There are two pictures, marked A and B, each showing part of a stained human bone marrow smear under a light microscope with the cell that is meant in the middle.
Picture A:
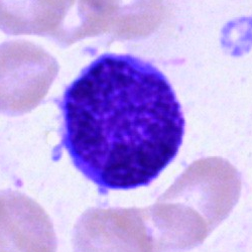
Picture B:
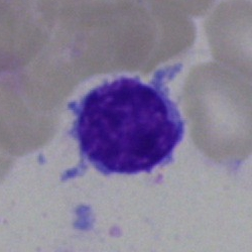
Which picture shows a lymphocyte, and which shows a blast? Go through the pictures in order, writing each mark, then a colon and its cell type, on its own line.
A: blast
B: lymphocyte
